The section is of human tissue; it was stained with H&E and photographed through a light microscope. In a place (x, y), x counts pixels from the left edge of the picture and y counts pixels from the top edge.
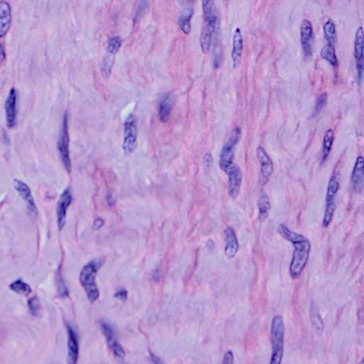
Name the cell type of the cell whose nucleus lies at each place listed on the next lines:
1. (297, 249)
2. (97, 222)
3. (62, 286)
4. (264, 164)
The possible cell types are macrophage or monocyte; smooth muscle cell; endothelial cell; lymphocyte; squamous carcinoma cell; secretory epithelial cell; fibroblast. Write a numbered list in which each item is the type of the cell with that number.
1. smooth muscle cell
2. smooth muscle cell
3. fibroblast
4. smooth muscle cell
